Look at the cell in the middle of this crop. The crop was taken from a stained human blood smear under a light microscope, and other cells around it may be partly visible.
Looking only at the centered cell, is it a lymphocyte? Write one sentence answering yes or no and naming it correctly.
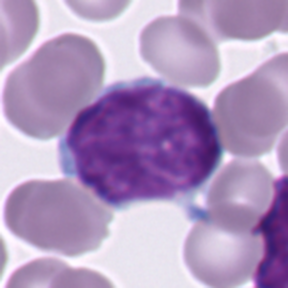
Yes, this central cell is a lymphocyte.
